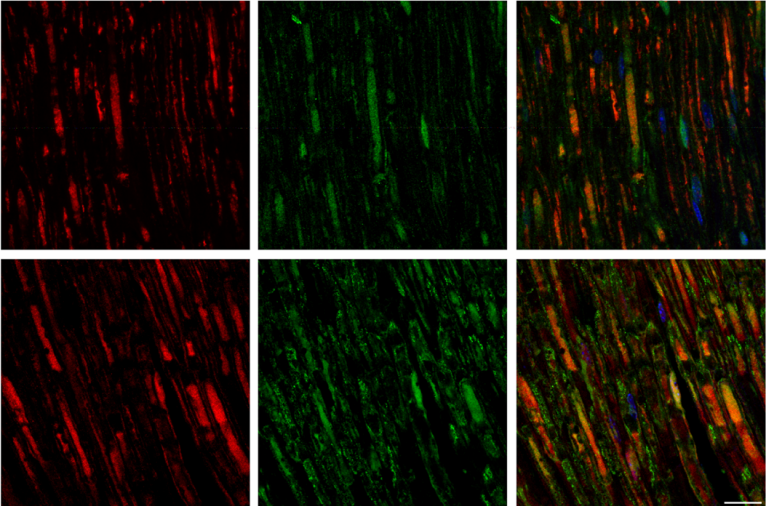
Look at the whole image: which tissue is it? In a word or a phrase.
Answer: Nerve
